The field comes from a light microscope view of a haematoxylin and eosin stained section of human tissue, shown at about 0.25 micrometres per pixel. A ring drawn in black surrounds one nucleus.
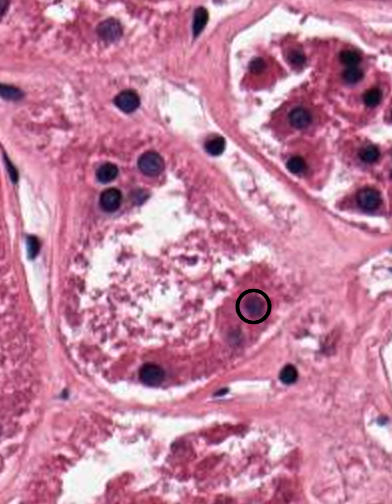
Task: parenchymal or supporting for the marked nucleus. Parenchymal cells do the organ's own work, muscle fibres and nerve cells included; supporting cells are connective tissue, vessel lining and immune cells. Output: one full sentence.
It is a parenchymal cell, namely a proximal tubule cell, to which the marked nucleus belongs.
